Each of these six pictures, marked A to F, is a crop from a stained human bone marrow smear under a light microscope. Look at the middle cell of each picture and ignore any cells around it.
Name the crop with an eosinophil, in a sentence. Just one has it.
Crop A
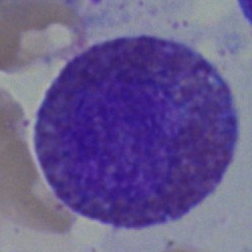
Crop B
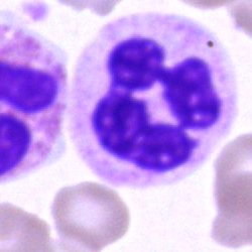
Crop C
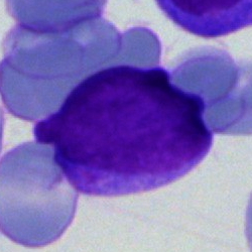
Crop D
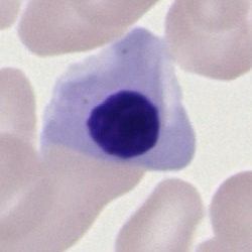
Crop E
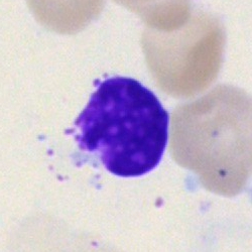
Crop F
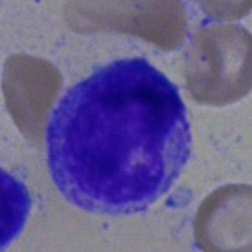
Of the crops given, an eosinophil is found in crop A.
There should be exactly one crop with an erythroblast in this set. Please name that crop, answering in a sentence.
Of these crops, it is crop D that shows an erythroblast.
